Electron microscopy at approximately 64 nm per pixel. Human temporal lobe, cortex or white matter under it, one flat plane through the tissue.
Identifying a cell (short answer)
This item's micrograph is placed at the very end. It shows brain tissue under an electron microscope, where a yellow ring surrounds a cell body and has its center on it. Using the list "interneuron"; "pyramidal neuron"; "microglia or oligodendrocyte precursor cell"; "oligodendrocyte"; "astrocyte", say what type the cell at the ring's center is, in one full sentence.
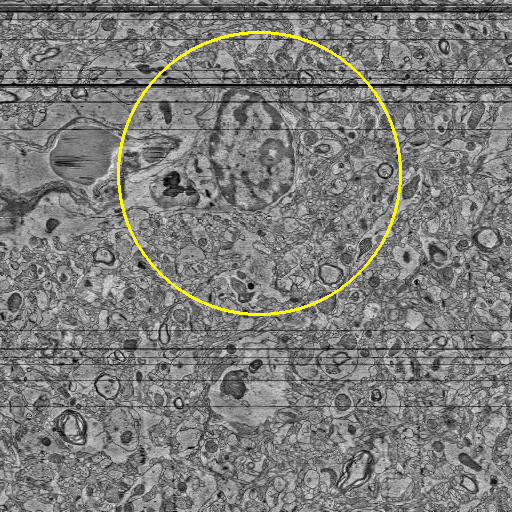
This picture shows a microglial cell or oligodendrocyte precursor cell at the center of the yellow ring drawn on it.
